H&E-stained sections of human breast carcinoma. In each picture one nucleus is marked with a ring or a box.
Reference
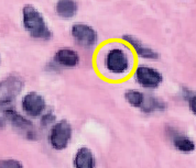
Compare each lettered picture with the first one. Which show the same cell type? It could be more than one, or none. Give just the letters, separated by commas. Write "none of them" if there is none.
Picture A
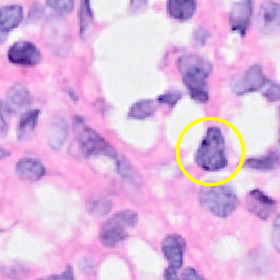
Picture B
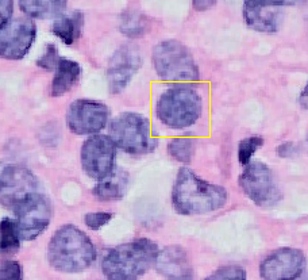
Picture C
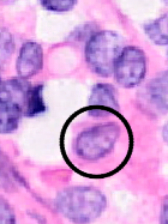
none of them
